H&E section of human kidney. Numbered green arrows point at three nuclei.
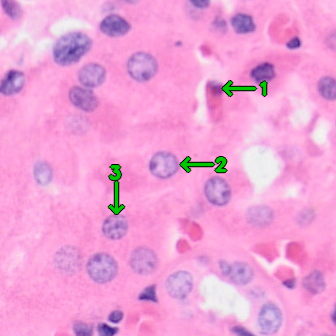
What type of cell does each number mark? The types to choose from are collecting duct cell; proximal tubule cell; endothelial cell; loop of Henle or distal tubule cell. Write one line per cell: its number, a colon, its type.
1: endothelial cell
2: proximal tubule cell
3: proximal tubule cell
